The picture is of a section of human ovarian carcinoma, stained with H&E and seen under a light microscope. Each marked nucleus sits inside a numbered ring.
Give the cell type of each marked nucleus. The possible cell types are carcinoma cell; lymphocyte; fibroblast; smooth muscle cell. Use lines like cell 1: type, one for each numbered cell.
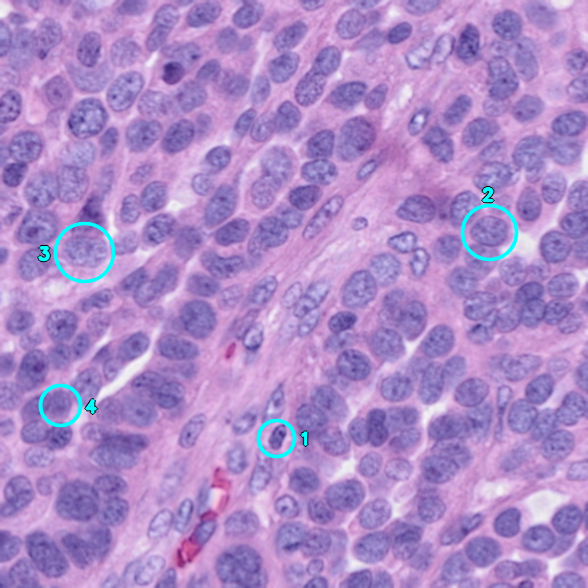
cell 1: lymphocyte
cell 2: carcinoma cell
cell 3: carcinoma cell
cell 4: carcinoma cell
